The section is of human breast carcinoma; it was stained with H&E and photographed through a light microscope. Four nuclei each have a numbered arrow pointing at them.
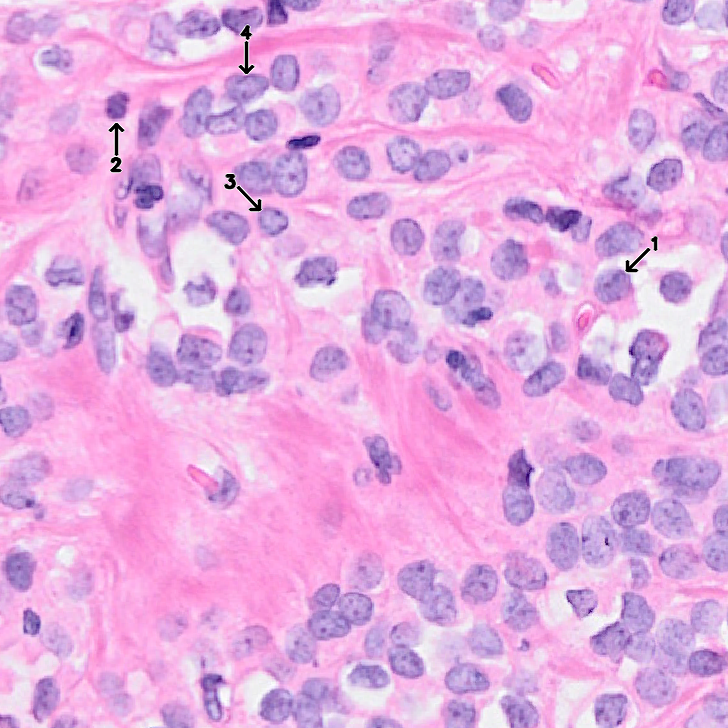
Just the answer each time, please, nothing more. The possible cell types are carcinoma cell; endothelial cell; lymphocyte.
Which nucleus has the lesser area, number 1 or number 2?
2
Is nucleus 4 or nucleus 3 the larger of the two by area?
4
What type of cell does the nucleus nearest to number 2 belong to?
endothelial cell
